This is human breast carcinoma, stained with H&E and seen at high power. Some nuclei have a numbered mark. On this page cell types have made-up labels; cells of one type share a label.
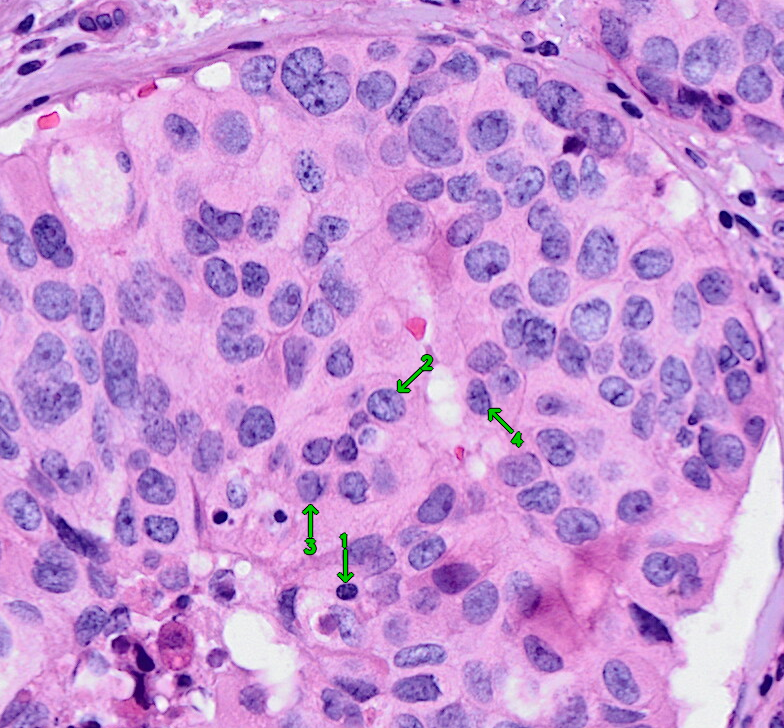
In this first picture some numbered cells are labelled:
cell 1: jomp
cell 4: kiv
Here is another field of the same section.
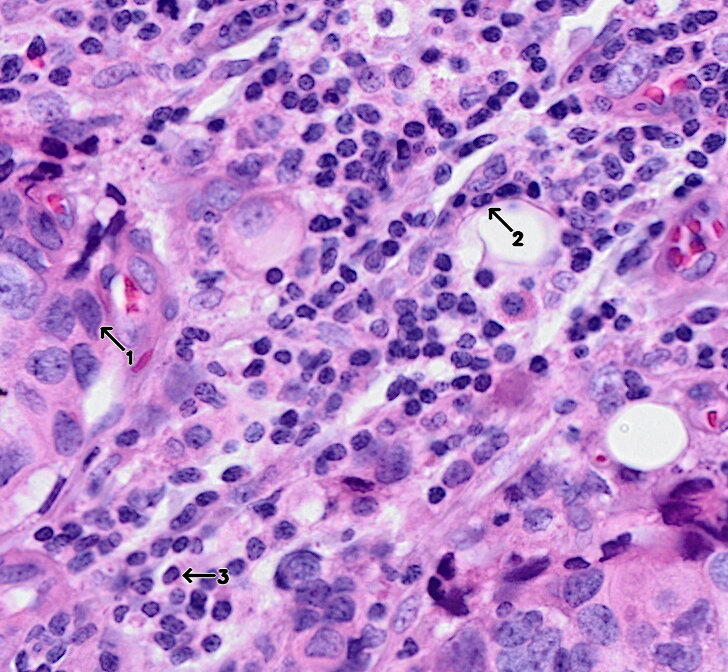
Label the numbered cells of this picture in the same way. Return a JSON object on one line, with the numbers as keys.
{"1": "kiv", "2": "jomp", "3": "jomp"}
